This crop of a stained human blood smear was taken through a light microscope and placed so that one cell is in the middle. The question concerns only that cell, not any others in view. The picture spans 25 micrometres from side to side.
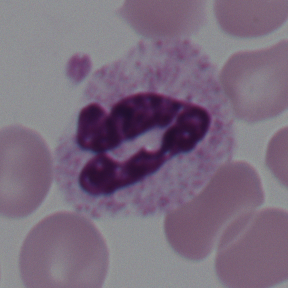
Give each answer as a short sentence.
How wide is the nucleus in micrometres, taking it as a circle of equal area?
About 9 micrometres: that is the diameter of the nucleus.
